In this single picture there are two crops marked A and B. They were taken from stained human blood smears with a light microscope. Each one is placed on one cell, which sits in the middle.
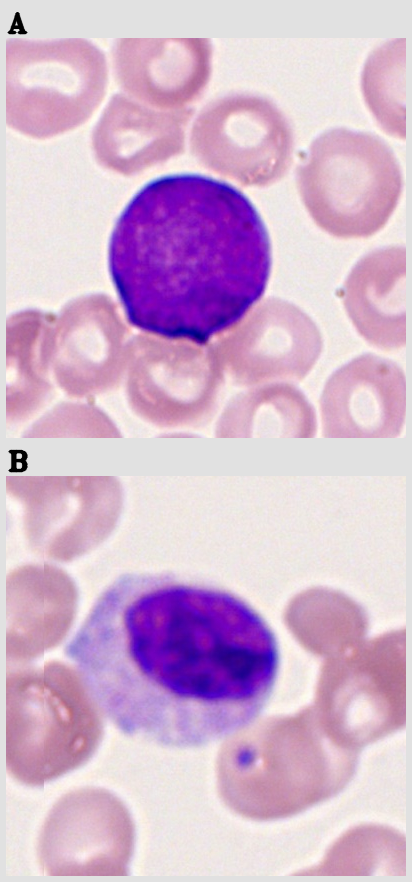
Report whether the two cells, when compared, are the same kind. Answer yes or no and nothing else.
no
